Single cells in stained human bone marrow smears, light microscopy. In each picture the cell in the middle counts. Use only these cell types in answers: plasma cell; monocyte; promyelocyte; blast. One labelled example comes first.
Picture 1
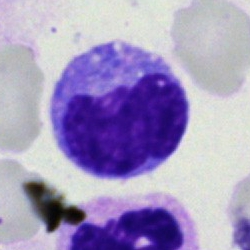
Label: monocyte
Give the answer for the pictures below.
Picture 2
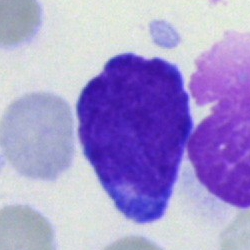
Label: blast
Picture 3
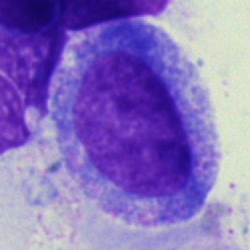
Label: promyelocyte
